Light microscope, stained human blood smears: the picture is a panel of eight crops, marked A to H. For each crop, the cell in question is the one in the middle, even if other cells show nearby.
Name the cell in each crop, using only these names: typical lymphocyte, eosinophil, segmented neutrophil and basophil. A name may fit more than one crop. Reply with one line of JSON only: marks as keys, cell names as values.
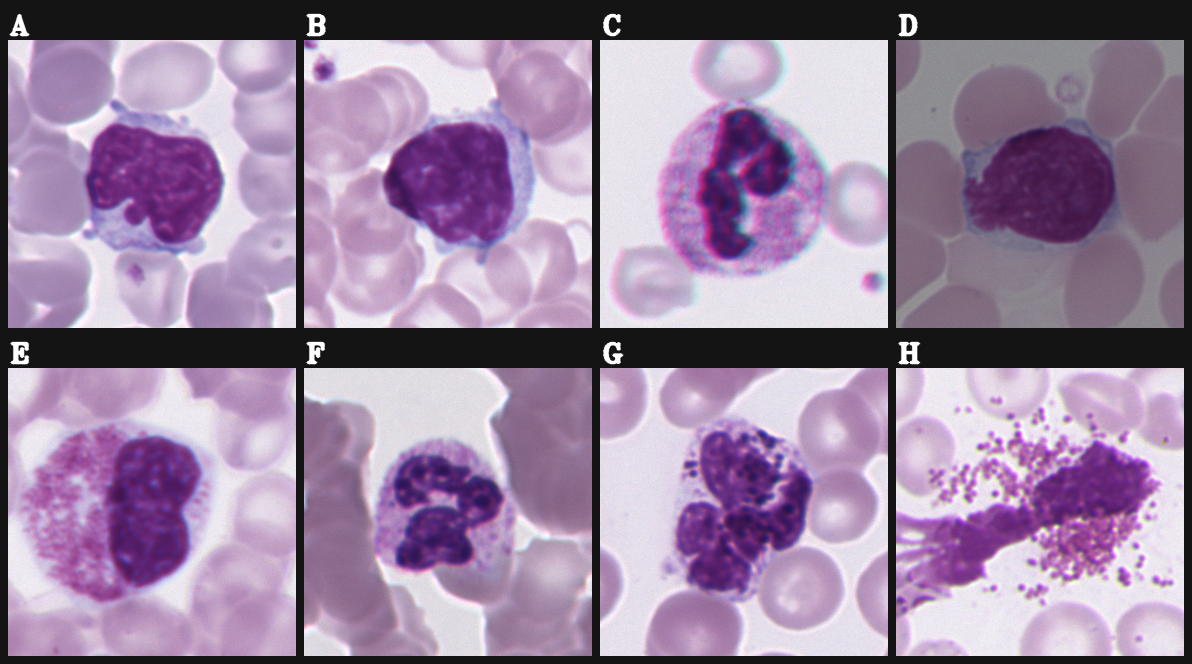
{"A": "typical lymphocyte", "B": "typical lymphocyte", "C": "segmented neutrophil", "D": "typical lymphocyte", "E": "eosinophil", "F": "segmented neutrophil", "G": "basophil", "H": "eosinophil"}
